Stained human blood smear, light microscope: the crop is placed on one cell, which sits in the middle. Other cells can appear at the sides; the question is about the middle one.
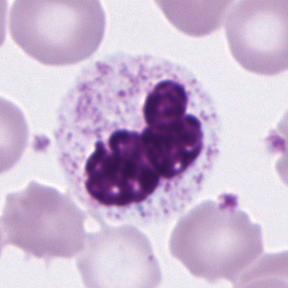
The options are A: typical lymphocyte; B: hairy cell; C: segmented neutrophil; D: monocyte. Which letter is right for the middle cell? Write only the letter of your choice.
C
